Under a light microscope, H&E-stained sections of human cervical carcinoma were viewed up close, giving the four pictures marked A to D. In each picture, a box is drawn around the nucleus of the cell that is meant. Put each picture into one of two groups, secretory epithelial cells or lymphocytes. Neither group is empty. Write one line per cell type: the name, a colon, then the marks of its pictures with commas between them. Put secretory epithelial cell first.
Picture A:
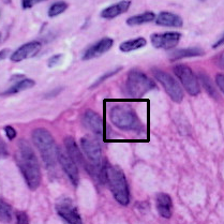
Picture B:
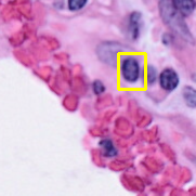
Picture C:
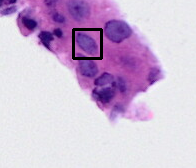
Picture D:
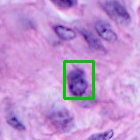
secretory epithelial cell: A, C
lymphocyte: B, D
